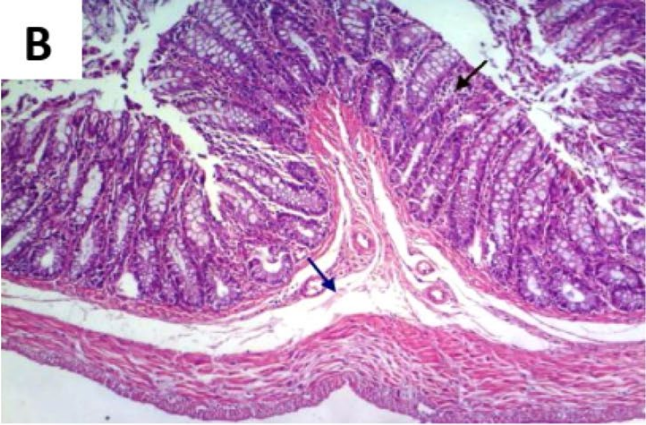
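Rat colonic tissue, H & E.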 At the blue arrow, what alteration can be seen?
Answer: Slight submucosal oedema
